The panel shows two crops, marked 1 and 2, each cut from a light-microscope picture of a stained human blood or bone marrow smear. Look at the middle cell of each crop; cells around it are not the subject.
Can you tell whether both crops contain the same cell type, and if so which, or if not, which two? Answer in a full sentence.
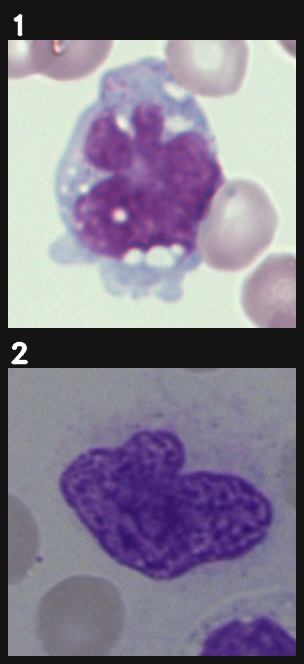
Yes, both of the crops in this pair show monocytes, one cell in each crop.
